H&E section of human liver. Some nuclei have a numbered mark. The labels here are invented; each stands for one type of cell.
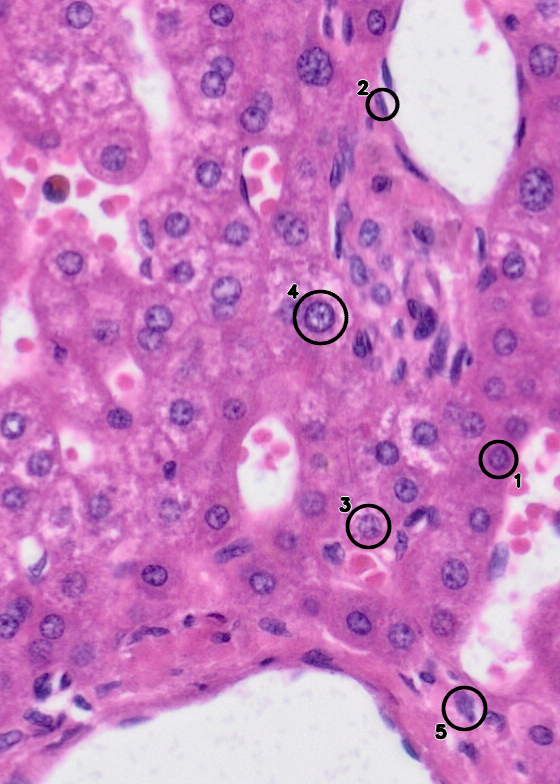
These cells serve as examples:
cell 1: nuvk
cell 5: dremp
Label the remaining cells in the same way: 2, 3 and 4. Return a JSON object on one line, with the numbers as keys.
{"2": "dremp", "3": "nuvk", "4": "nuvk"}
